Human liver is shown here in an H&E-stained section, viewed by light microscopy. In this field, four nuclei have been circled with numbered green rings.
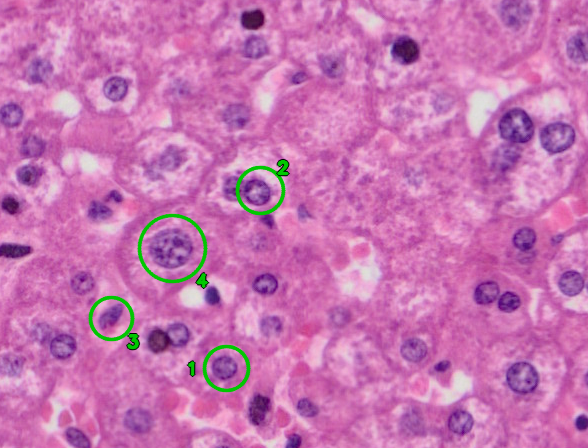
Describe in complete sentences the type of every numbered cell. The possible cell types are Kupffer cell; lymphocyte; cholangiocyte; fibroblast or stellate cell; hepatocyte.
Cell 1 is a hepatocyte, cell 2 is a hepatocyte, cell 3 is a Kupffer cell and cell 4 is a hepatocyte.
